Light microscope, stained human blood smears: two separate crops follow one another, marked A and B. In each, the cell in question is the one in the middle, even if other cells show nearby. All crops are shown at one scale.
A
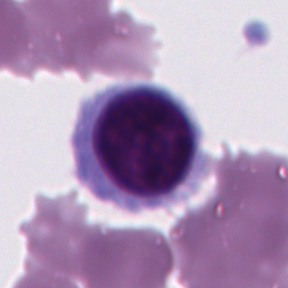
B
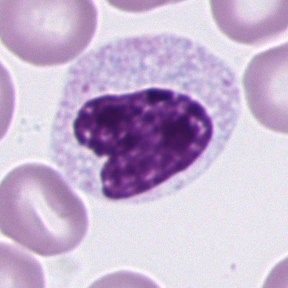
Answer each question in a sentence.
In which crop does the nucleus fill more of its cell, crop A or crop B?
The nucleus fills more of the cell in crop A than in crop B.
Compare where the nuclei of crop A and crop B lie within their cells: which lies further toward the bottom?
Seen within its cell, the nucleus in crop B lies further toward the bottom.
